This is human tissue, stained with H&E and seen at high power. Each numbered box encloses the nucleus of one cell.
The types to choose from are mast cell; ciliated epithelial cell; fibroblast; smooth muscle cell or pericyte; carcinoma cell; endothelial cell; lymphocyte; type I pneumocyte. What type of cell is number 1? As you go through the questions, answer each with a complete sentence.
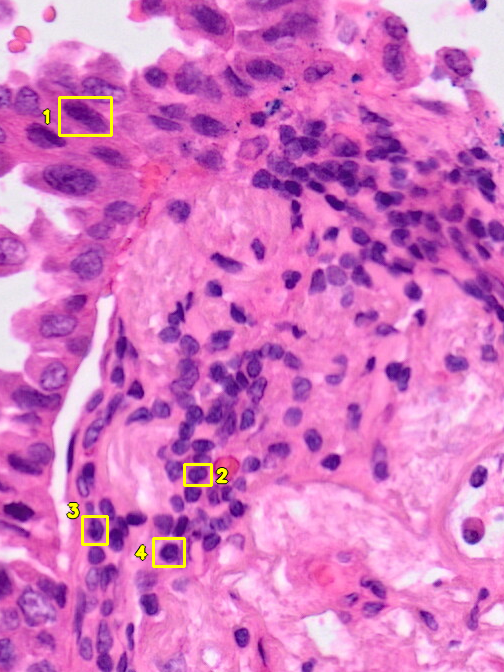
The cell marked with the number 1 is a carcinoma cell.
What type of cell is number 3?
The label 3 in this section denotes a lymphocyte.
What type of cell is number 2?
That cell with number 2 is a lymphocyte.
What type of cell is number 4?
The cell whose nucleus carries the number 4 is a lymphocyte.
